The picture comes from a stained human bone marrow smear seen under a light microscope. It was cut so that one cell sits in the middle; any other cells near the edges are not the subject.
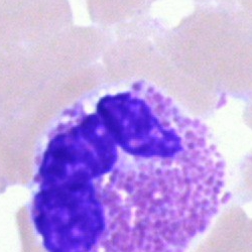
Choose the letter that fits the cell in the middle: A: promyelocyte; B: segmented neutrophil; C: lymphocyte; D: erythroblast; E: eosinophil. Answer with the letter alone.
E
